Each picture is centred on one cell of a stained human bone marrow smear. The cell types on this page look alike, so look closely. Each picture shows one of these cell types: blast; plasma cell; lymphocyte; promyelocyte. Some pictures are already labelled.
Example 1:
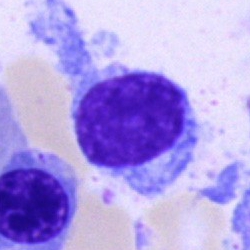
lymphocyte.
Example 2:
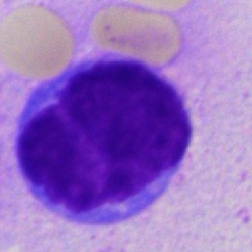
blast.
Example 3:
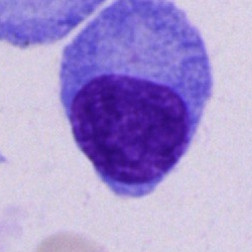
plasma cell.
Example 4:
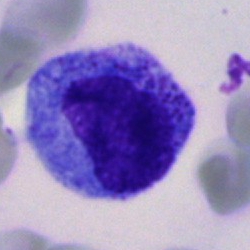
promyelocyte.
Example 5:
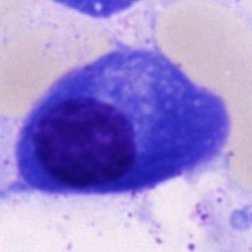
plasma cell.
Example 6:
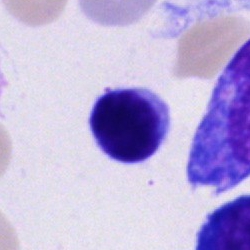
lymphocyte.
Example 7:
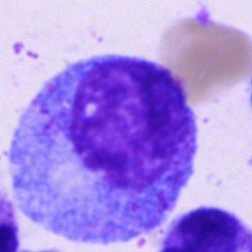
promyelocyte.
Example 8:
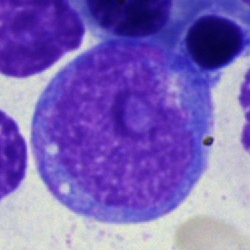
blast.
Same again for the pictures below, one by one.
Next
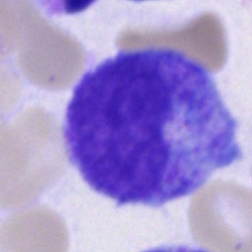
promyelocyte.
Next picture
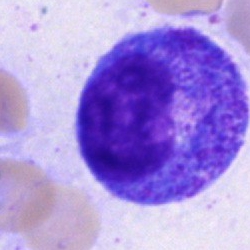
promyelocyte.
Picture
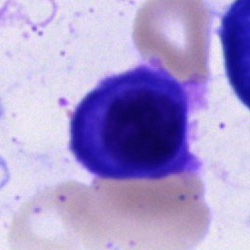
plasma cell.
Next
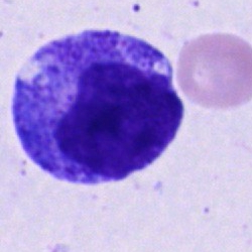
promyelocyte.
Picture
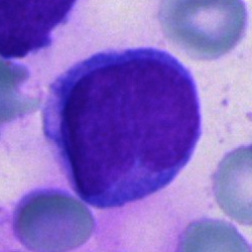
blast.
